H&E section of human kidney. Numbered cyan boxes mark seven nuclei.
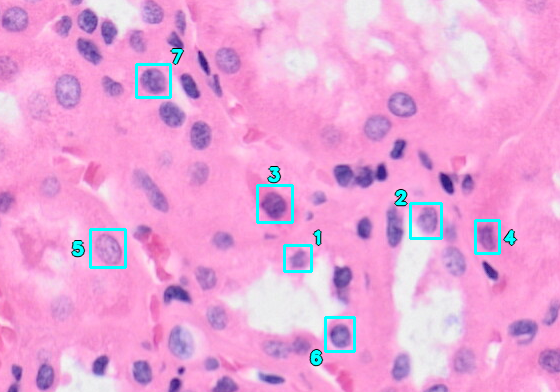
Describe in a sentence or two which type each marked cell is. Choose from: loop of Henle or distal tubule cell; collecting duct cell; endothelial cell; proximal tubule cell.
Cell 1 is a loop of Henle or distal tubule cell, cell 2 is a loop of Henle or distal tubule cell, cell 3 is a proximal tubule cell, cell 4 is a proximal tubule cell, cell 5 is a proximal tubule cell, cell 6 is a loop of Henle or distal tubule cell and cell 7 is a loop of Henle or distal tubule cell.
